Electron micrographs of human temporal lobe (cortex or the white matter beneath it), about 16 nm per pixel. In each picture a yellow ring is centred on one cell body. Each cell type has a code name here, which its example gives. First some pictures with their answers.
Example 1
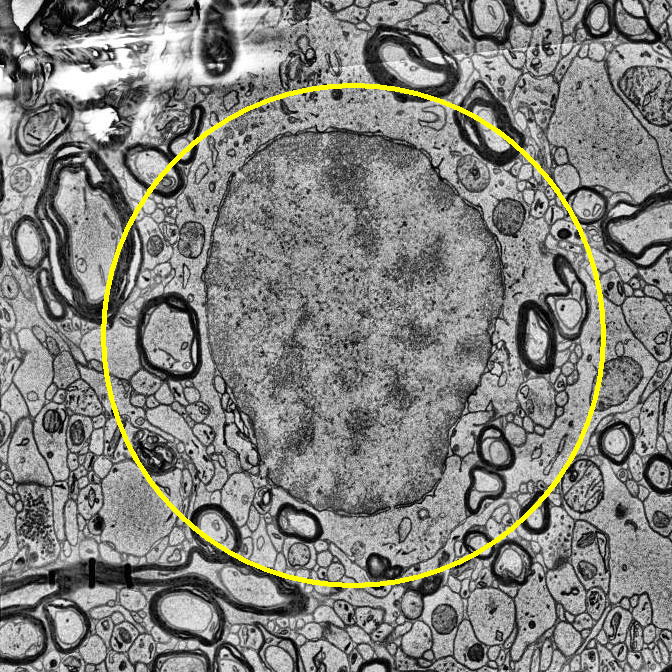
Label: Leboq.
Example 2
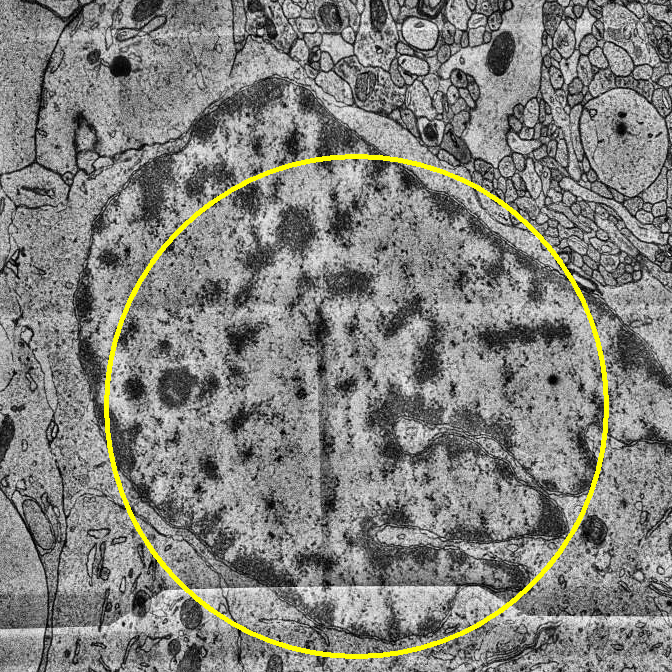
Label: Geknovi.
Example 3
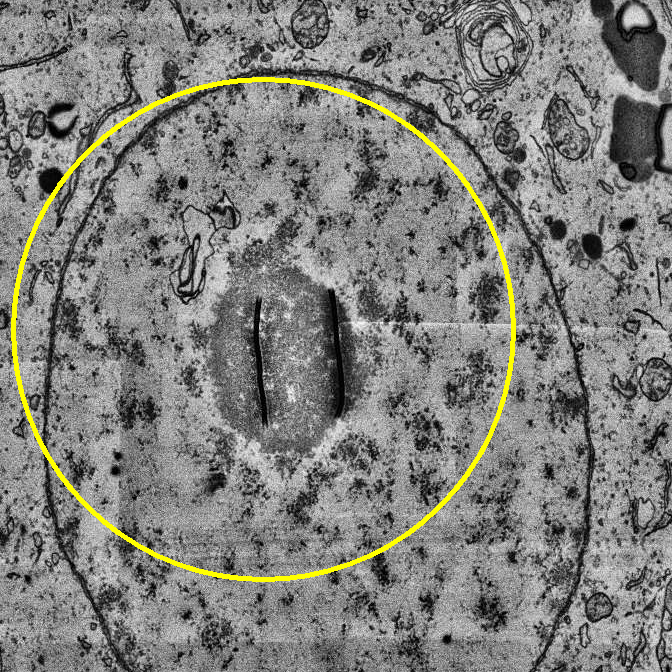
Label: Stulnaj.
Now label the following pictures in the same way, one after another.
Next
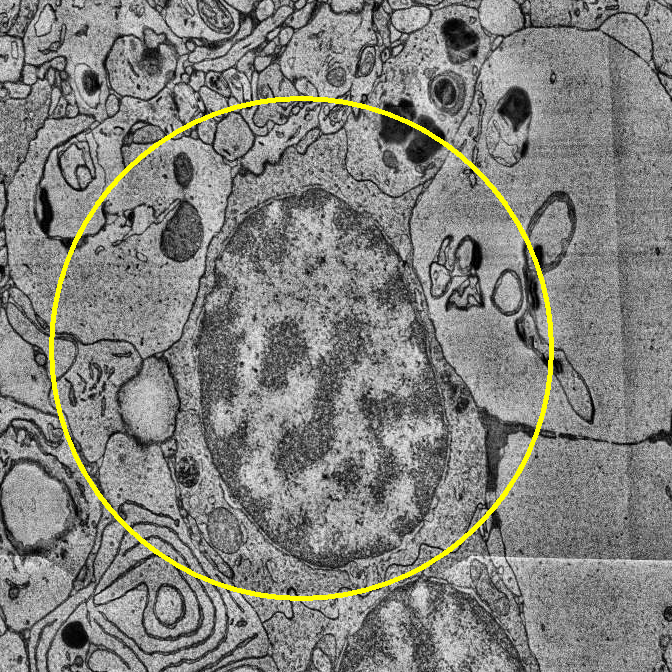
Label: Leboq.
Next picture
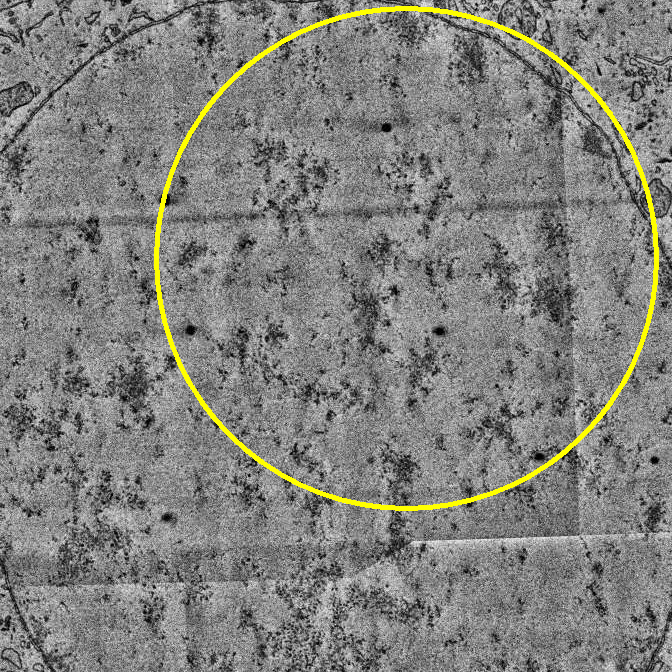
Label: Stulnaj.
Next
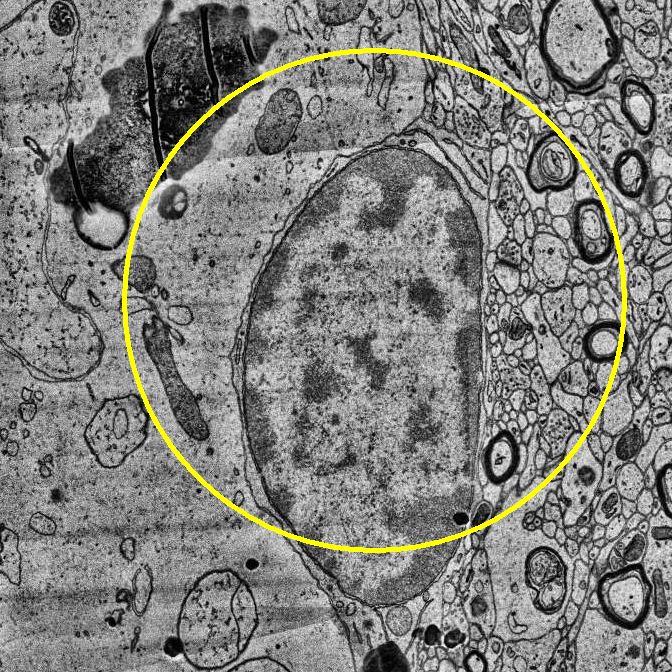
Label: Geknovi.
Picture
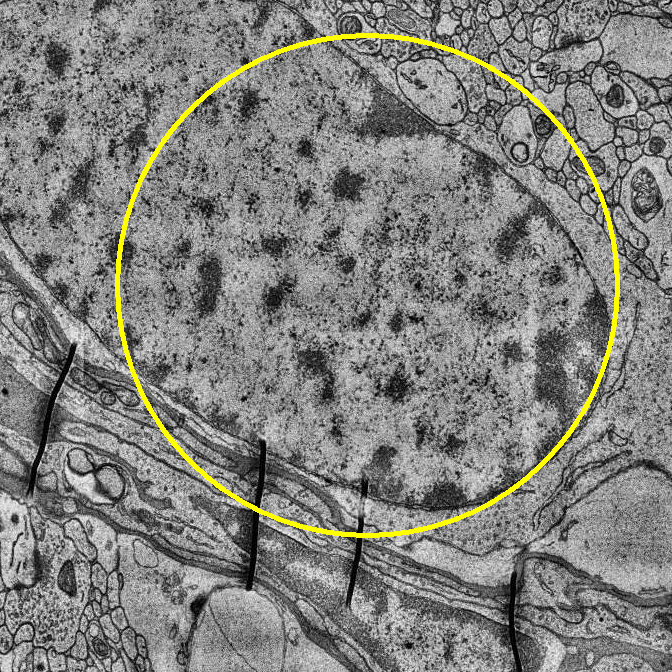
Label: Geknovi.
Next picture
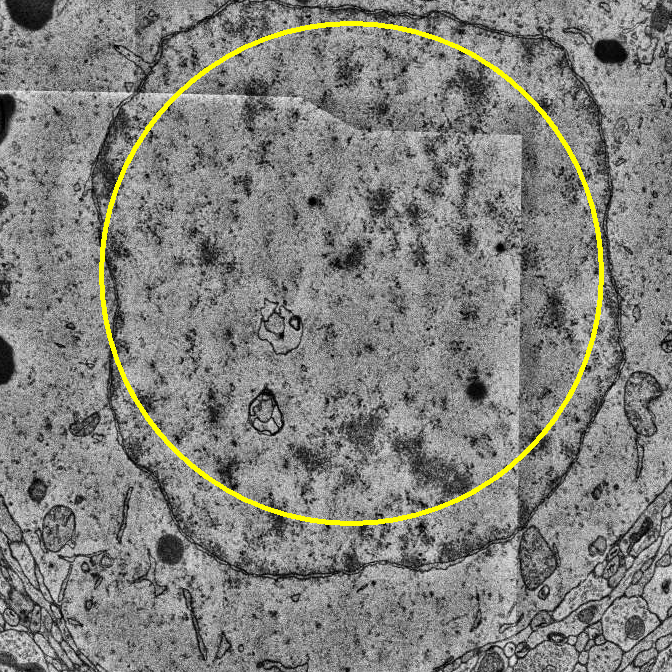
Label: Stulnaj.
